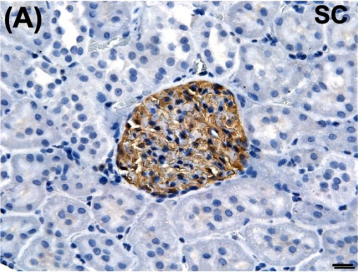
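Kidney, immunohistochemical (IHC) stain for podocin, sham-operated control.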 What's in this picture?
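This is renal cortex with a single glomerulus in the centre surrounded by cross-sectioned tubules. The glomerular tuft is compact and round, its capillary loops and cells strongly stained brown, with many dark blue nuclei among them. The tubules around it are lined by cuboidal epithelial cells with pale, finely granular cytoplasm and round blue nuclei, and their lumina are small. Outside the glomerulus the tissue shows little brown stain.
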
